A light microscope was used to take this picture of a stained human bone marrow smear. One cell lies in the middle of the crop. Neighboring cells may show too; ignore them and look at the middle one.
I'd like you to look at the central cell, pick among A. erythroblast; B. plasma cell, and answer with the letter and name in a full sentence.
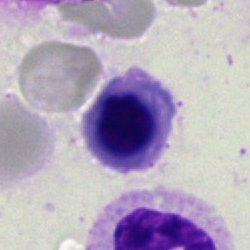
Option A is correct; the cell in the middle is an erythroblast.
